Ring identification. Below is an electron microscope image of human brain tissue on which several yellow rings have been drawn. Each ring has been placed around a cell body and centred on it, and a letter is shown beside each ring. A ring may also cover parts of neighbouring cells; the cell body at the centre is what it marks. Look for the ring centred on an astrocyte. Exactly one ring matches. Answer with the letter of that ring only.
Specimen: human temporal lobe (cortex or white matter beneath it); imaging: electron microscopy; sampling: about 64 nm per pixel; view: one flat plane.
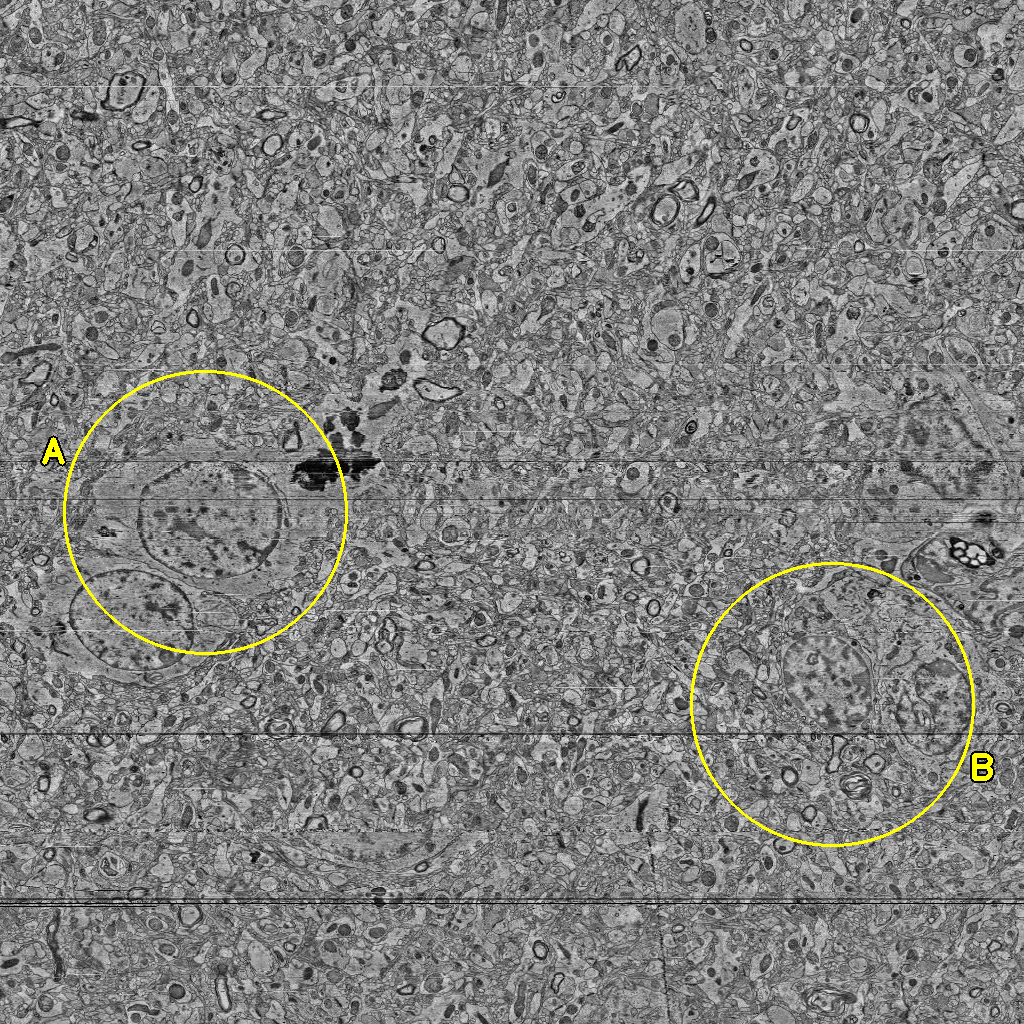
A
